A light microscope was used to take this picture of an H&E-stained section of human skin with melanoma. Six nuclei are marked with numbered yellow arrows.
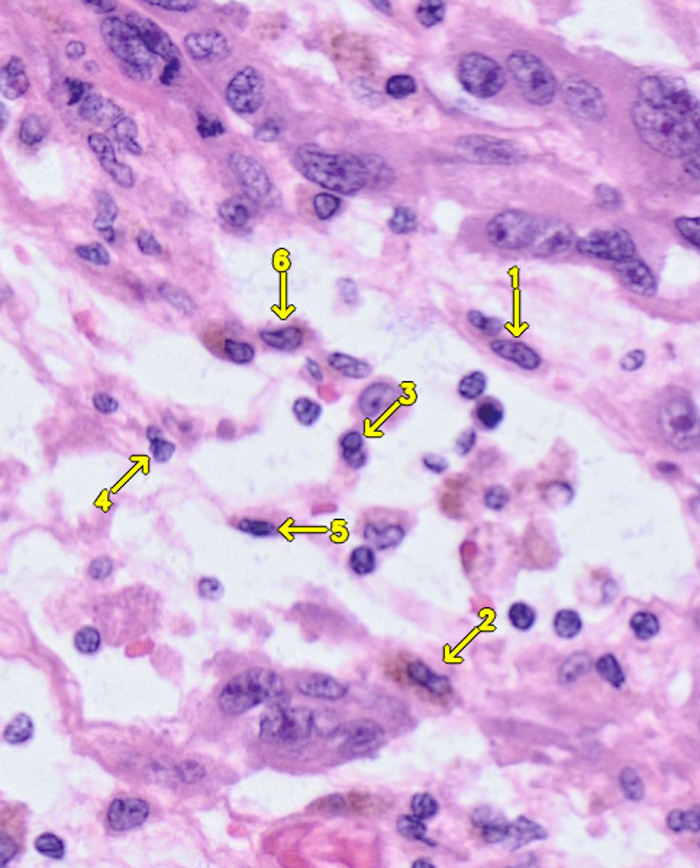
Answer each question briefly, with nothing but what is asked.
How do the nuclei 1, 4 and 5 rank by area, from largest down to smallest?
1, 4, 5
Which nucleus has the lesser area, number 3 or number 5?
5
